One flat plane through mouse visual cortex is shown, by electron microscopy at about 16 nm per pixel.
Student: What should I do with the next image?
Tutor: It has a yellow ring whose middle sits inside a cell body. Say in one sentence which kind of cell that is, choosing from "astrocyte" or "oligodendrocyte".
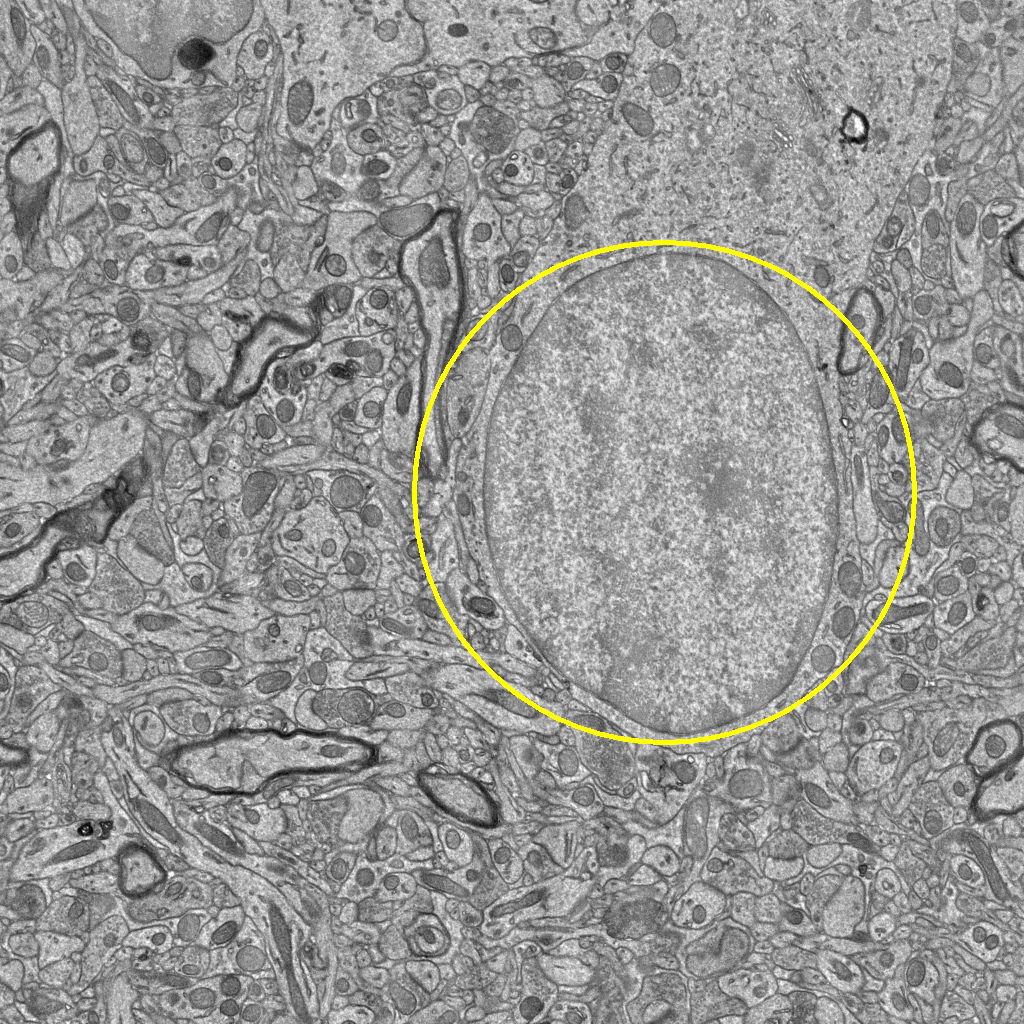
The ring's centre is occupied by an oligodendrocyte.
